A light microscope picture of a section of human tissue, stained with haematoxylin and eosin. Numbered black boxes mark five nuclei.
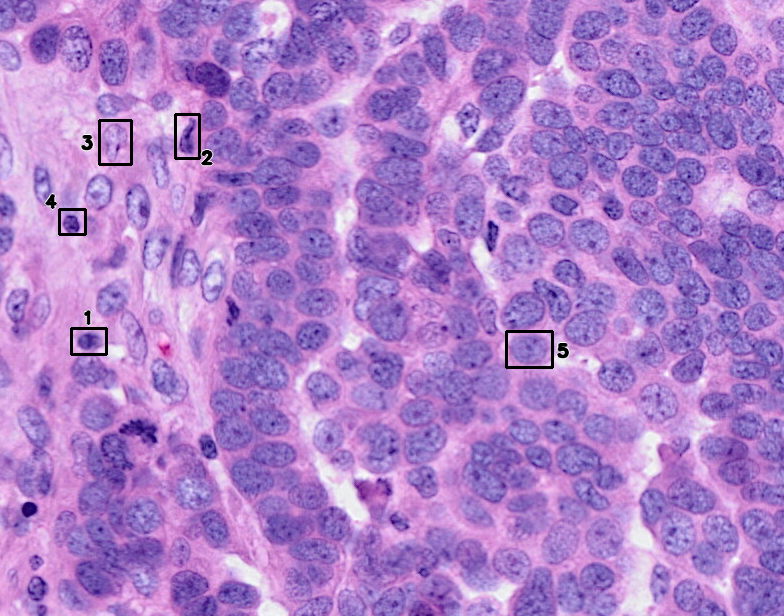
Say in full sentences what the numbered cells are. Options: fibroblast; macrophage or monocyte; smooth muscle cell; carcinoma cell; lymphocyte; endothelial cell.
Cells 1 and 4 are lymphocytes. Cell 2 is a macrophage or monocyte. Cell 3 is a fibroblast. Cell 5 is a carcinoma cell.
